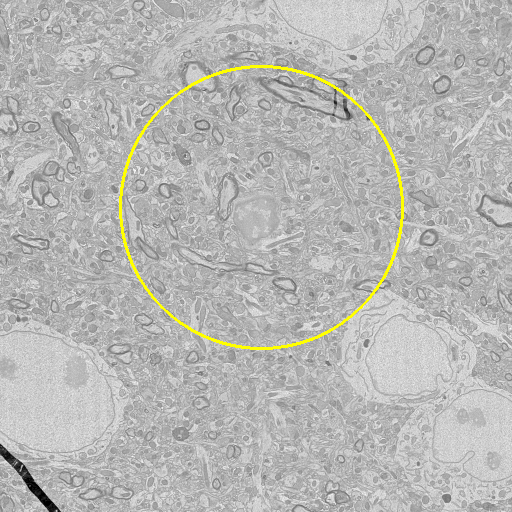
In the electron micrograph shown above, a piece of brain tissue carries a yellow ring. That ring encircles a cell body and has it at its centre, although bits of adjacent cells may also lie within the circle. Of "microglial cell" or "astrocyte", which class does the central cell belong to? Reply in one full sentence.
The cell body at the centre of the yellow ring belongs to a microglial cell.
